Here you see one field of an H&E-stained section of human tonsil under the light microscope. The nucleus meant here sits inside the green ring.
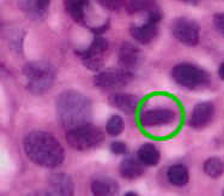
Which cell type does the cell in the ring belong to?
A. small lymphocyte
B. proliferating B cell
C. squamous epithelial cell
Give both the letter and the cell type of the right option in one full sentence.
Best answer: option C, with the cell in the ring being a squamous epithelial cell.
